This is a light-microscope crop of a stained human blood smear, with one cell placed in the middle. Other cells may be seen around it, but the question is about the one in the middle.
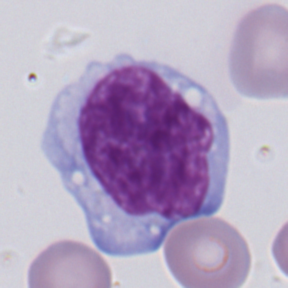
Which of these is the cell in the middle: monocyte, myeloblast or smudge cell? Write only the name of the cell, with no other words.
myeloblast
